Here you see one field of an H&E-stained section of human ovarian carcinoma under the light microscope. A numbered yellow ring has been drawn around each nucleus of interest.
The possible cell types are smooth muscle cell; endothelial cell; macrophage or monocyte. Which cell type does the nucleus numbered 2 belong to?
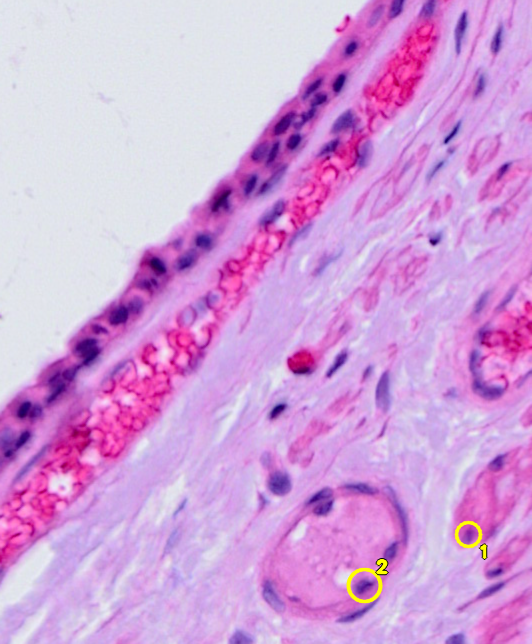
endothelial cell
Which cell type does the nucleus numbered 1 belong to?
smooth muscle cell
